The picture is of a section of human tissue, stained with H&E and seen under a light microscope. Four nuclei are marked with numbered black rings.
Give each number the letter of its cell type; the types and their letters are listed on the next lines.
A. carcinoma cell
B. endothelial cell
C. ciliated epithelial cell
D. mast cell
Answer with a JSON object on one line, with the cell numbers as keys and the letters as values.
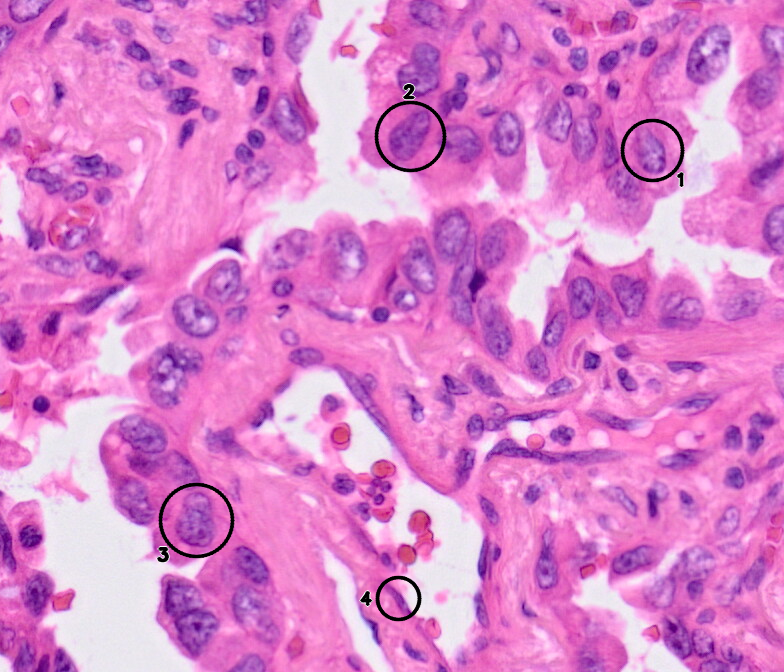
{"1": "A", "2": "A", "3": "A", "4": "B"}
